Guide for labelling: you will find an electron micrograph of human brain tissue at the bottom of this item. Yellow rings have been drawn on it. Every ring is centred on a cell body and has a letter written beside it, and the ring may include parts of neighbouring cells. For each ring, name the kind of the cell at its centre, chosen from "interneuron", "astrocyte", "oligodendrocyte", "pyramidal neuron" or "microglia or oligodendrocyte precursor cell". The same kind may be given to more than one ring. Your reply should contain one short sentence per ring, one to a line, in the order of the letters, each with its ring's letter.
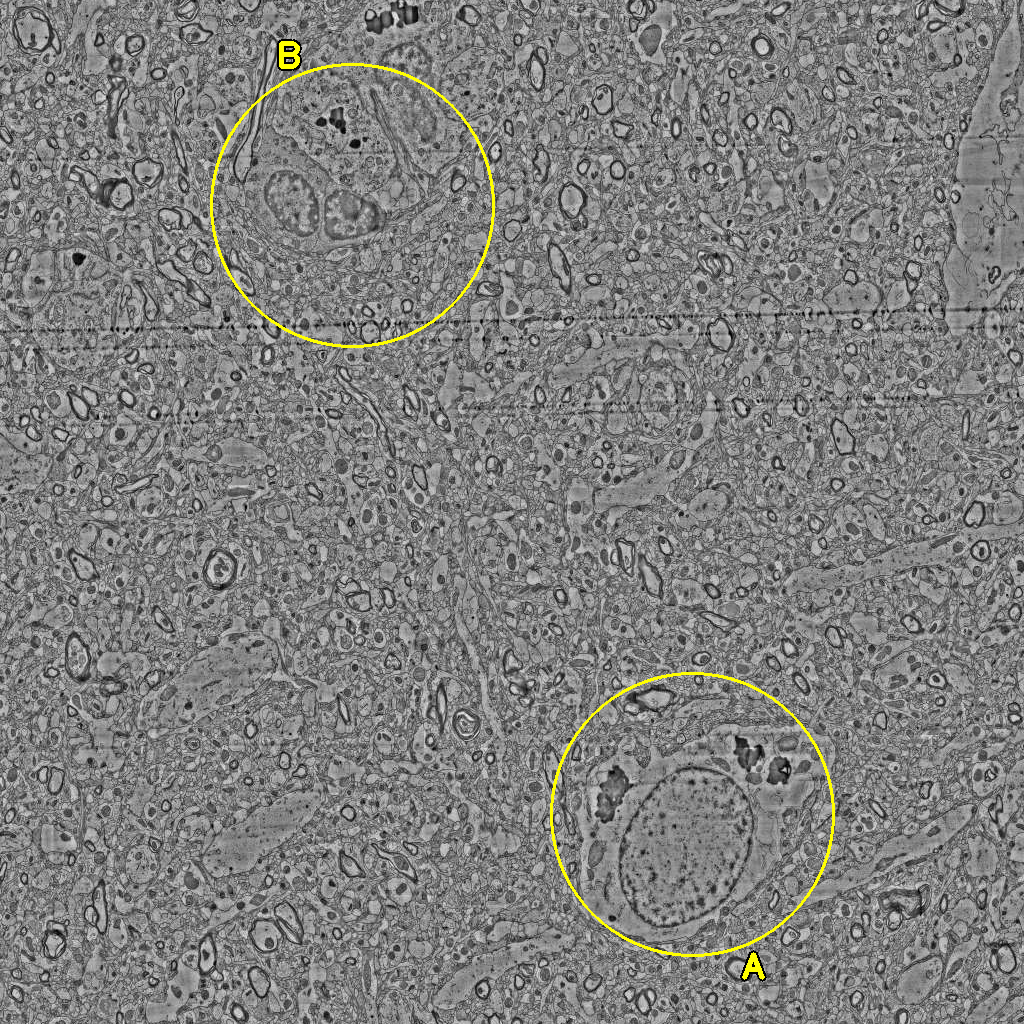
Ring A is centred on the body of an astrocyte.
Ring B is centred on the body of an oligodendrocyte.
